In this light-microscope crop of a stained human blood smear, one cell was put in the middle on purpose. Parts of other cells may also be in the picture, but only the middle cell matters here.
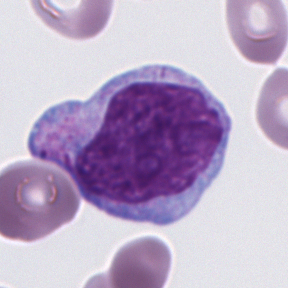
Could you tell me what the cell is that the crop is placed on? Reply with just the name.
atypical promyelocyte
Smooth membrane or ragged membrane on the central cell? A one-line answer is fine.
A smooth outline is absent here, replaced by ragged stretches or projections.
